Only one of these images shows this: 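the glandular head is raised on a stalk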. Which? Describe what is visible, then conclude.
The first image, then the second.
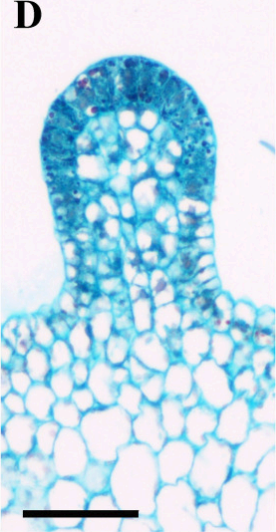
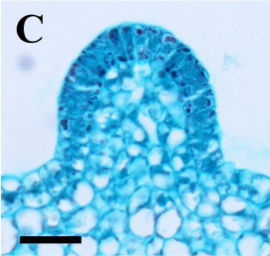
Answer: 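First image: the rounded head sits on a narrower column of cells above the surface. Second image: the dome rises directly from the surface tissue with no narrowed stalk.
Conclusion: the first image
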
